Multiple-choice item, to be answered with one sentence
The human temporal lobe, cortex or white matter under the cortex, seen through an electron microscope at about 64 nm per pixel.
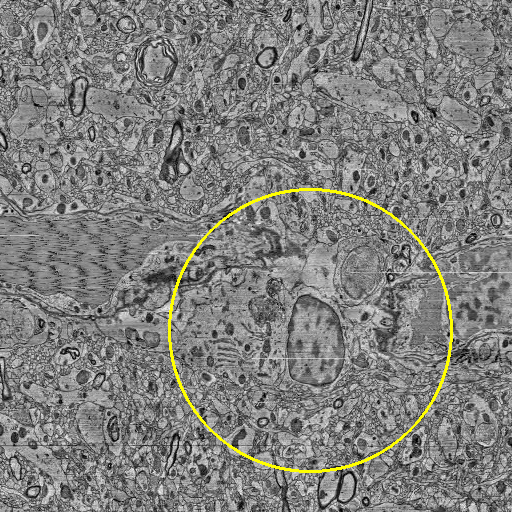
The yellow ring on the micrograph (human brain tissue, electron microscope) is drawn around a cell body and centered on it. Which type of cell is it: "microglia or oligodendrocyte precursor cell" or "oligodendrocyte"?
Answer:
The ring is centered on a microglial cell or oligodendrocyte precursor cell.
